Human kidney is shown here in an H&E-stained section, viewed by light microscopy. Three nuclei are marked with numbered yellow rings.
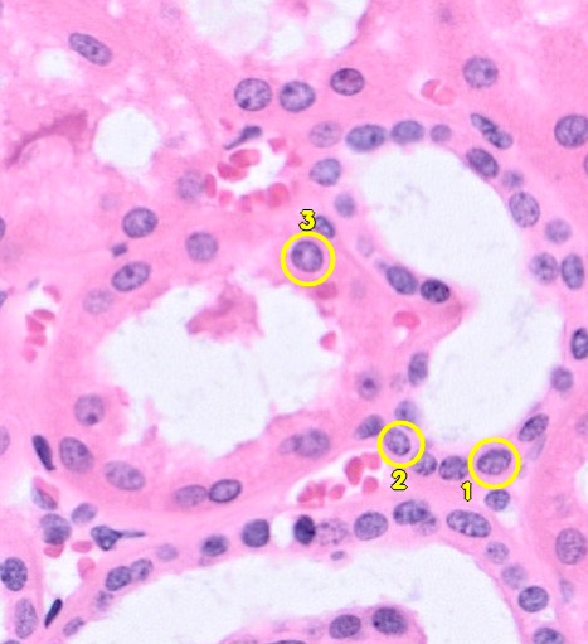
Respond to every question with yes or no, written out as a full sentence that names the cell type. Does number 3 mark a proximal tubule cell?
Yes, the cell bearing the number 3 is a proximal tubule cell.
